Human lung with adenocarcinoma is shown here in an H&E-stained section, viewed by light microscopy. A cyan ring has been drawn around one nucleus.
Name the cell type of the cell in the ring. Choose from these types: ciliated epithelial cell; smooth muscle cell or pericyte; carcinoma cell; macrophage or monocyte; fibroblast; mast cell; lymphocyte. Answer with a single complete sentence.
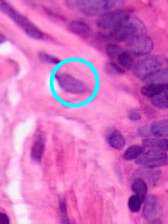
Histopathologically, the cell in the ring is a fibroblast.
